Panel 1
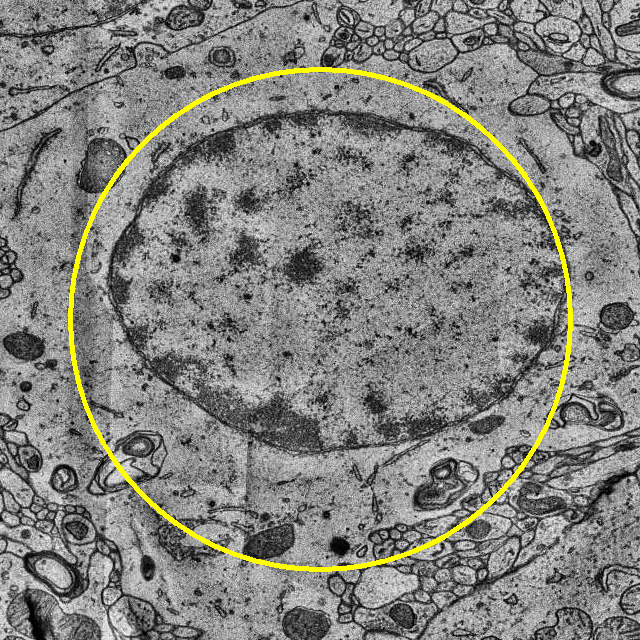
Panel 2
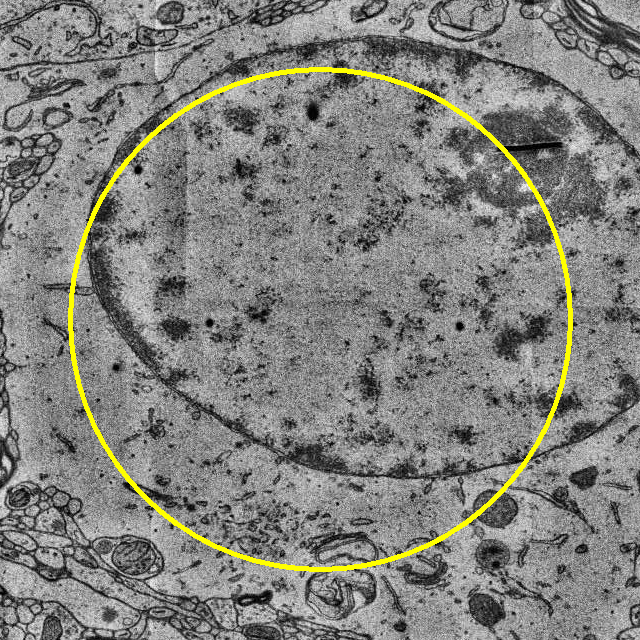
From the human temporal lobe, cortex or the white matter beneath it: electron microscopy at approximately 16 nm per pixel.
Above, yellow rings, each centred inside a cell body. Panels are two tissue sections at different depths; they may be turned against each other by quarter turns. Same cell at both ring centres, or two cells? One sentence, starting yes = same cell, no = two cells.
Yes, the two yellow circles hold the same cell.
